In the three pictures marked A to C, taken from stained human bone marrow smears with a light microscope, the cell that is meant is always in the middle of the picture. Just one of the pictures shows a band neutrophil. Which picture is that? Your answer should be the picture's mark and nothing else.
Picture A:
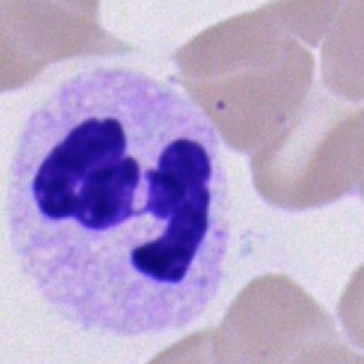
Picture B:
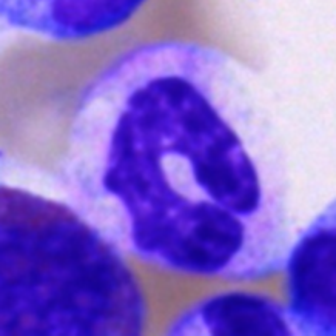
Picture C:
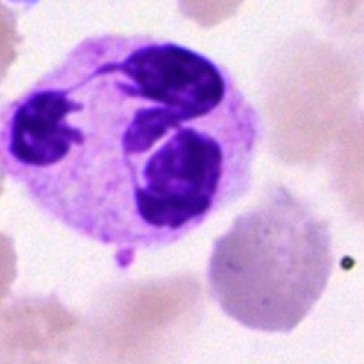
B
